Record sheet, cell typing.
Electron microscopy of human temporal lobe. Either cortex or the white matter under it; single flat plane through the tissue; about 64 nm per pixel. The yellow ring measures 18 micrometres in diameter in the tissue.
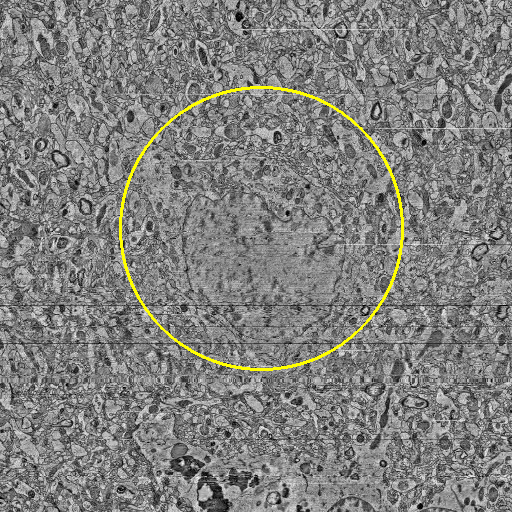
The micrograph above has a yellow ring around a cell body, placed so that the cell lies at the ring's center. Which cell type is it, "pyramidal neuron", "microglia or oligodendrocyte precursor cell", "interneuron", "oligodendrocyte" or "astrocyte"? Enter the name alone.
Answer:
interneuron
